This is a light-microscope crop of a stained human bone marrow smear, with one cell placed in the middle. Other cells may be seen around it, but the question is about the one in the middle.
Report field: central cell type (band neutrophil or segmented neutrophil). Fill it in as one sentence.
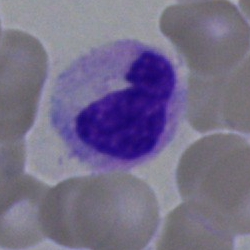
As for the cell in the middle, it is a band neutrophil.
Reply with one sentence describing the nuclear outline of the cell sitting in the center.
Its nucleus is compact and single, with a round, oval or kidney-shaped form.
